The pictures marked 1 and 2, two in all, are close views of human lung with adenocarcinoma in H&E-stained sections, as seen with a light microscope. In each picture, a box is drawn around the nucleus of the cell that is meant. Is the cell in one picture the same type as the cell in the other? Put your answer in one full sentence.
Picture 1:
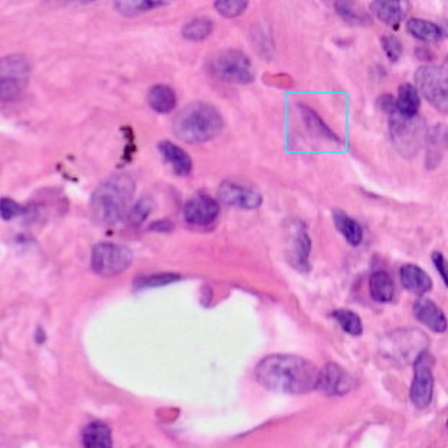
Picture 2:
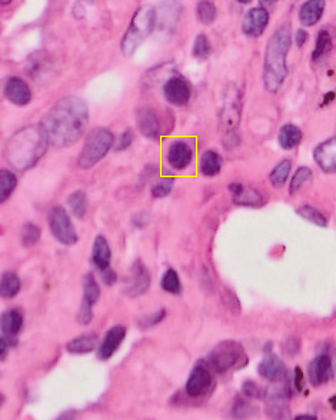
No, the types are not the same, since picture 1 shows an endothelial cell and picture 2 a lymphocyte.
